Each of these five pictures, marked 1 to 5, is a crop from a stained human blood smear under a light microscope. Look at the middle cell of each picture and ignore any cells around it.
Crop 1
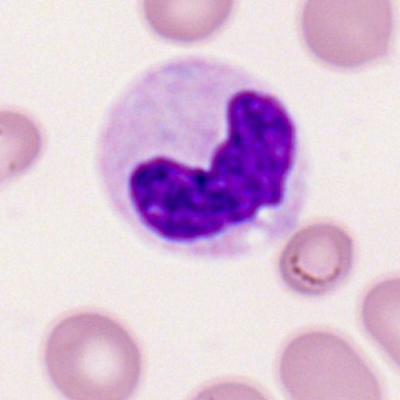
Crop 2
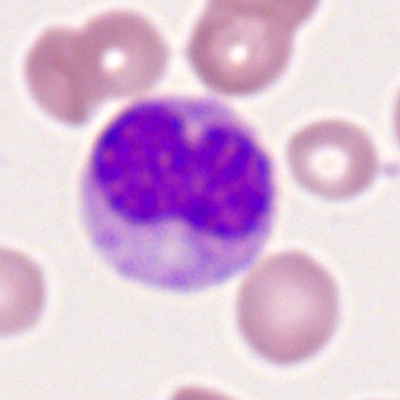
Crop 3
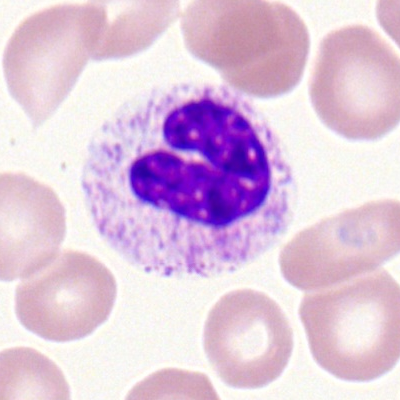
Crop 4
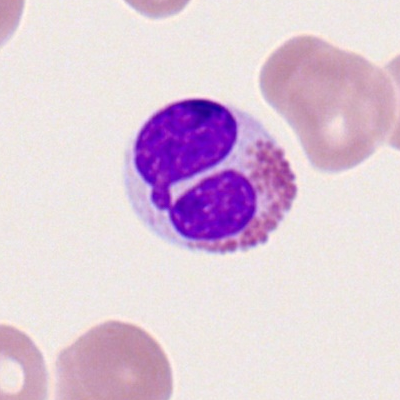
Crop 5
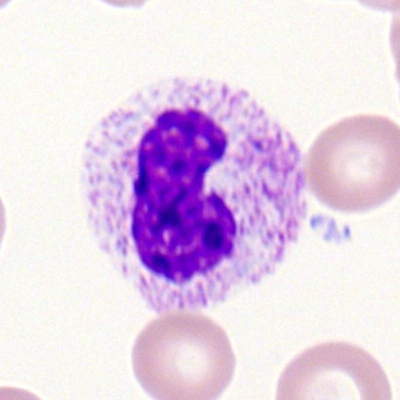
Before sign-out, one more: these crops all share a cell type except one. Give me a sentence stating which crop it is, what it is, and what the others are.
In this set the other crops all show band neutrophils, and crop 4 shows an eosinophil.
